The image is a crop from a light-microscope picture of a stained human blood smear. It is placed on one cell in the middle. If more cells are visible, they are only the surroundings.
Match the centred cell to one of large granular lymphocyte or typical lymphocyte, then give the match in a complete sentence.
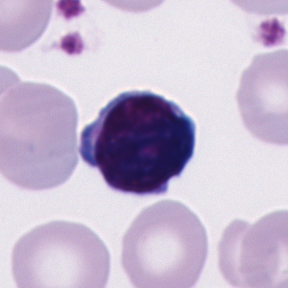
The cell under consideration, at the middle of the crop, is a typical lymphocyte.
